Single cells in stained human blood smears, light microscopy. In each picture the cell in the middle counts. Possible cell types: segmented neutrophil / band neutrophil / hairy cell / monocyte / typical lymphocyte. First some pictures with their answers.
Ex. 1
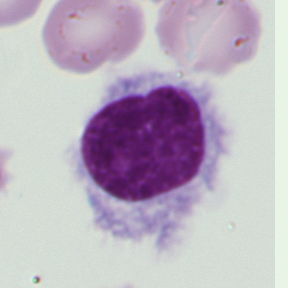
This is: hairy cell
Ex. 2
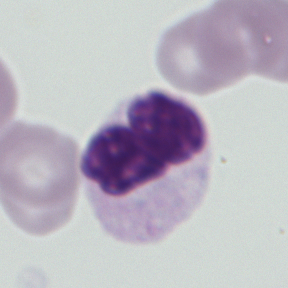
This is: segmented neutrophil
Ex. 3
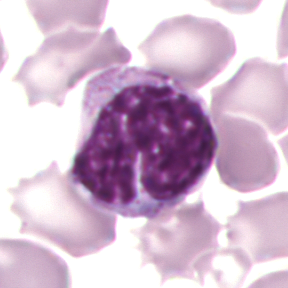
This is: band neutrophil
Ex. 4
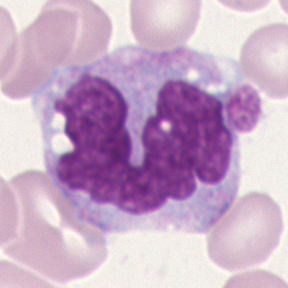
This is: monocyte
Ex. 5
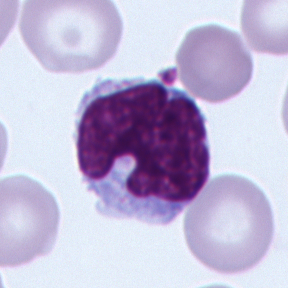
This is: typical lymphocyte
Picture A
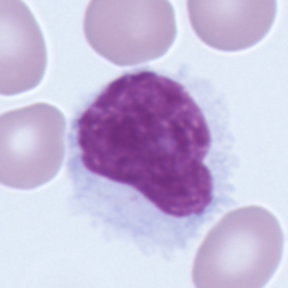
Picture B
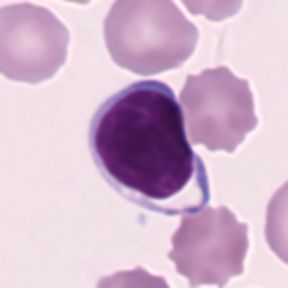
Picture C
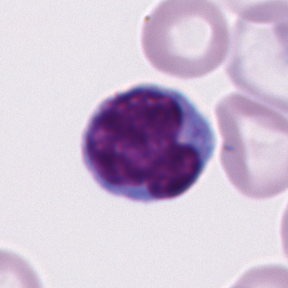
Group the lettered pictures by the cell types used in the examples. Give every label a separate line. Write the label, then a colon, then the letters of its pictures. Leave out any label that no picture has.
hairy cell: A
typical lymphocyte: B, C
